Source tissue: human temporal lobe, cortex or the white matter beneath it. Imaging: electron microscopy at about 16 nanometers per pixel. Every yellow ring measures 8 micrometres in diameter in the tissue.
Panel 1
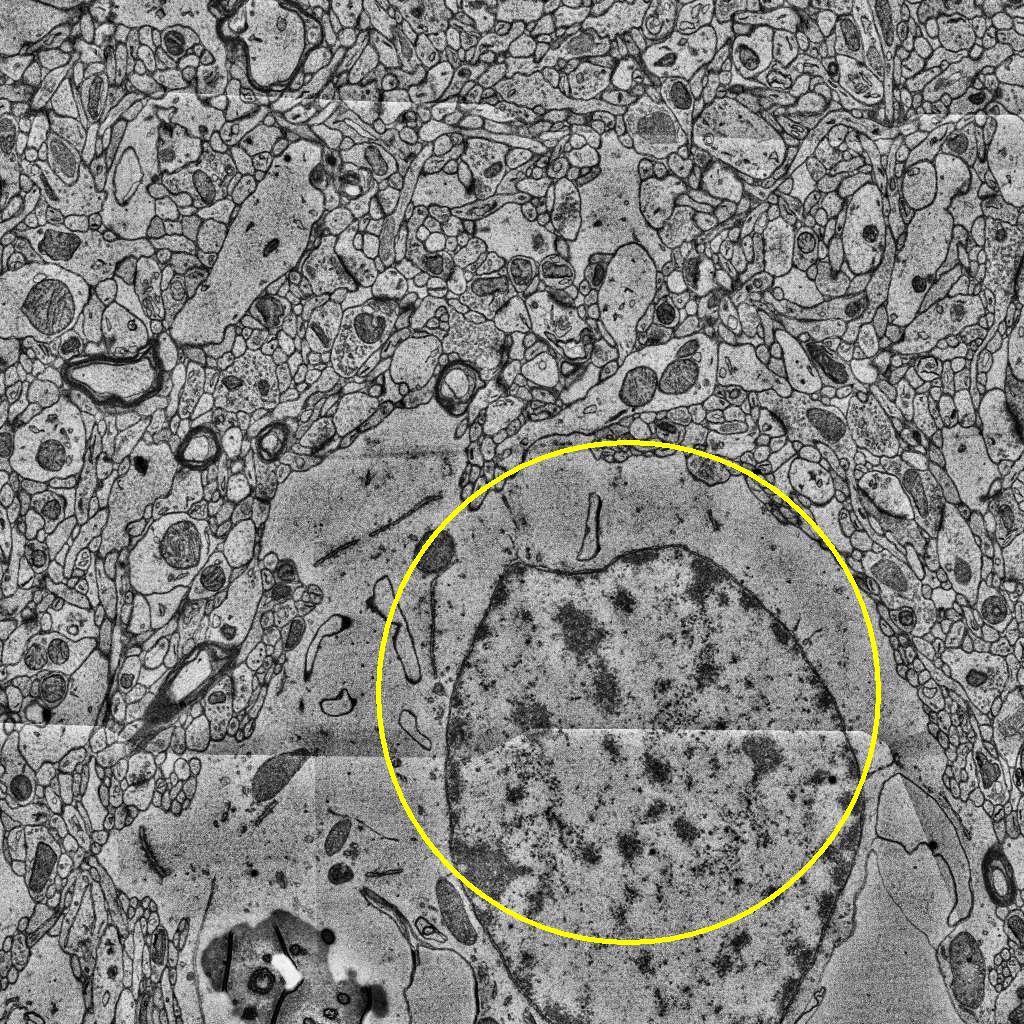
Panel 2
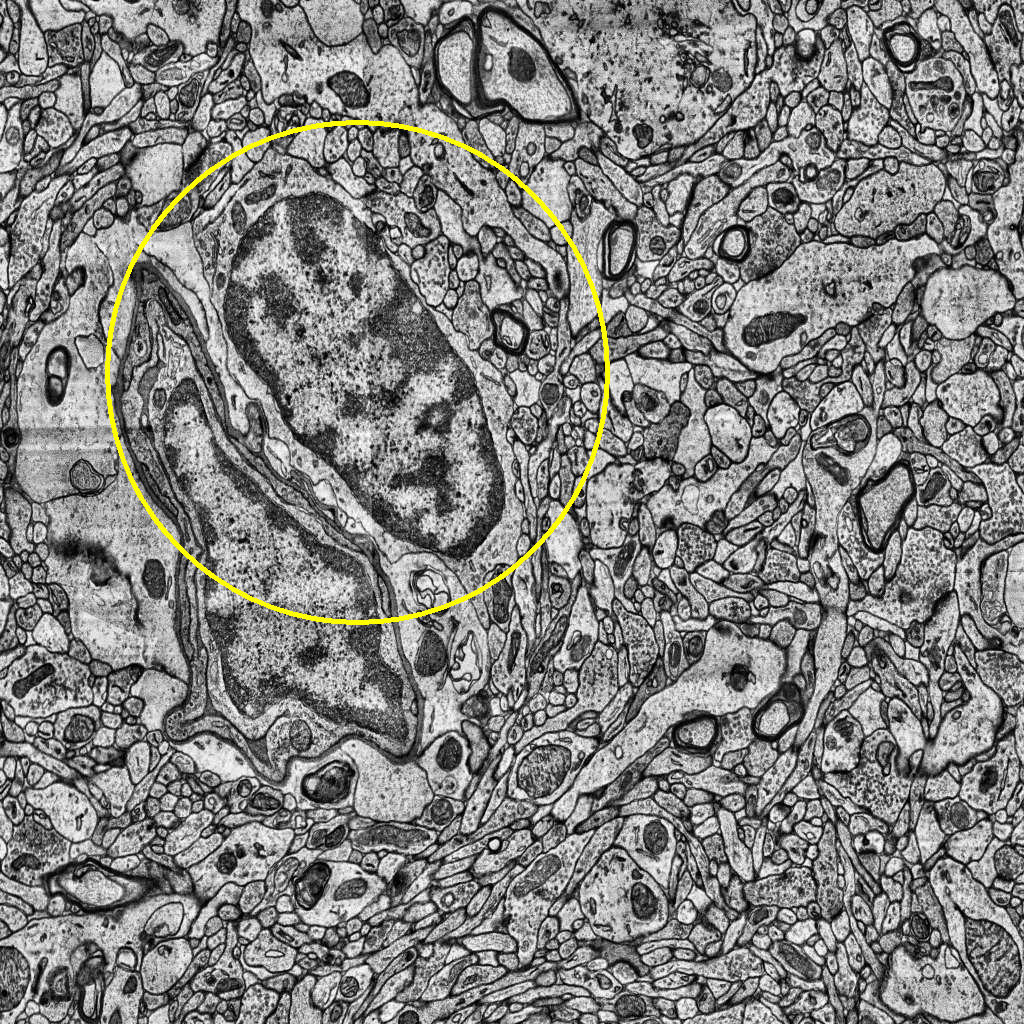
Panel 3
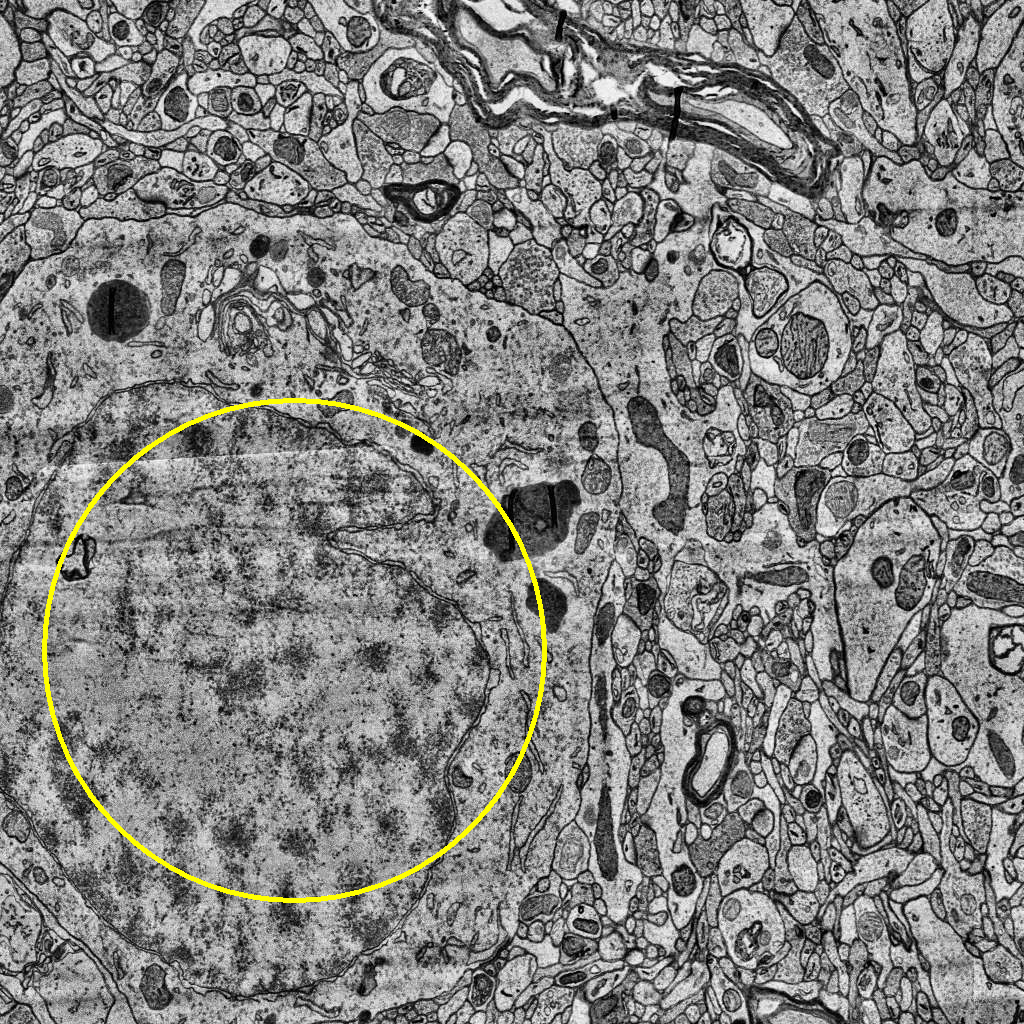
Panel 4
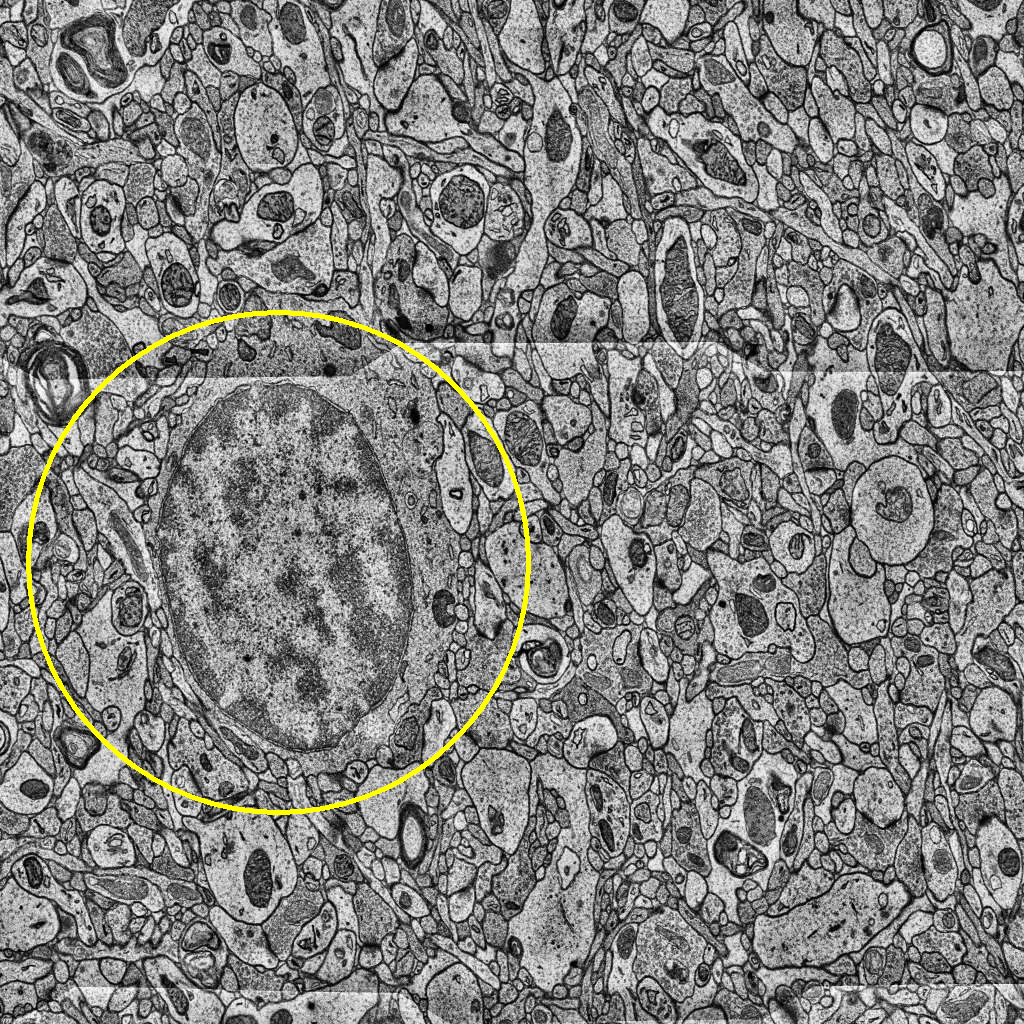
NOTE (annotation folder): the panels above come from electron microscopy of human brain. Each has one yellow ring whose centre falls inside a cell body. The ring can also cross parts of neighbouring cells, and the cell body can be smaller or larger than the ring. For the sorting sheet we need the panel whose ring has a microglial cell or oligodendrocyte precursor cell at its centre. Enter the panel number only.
2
